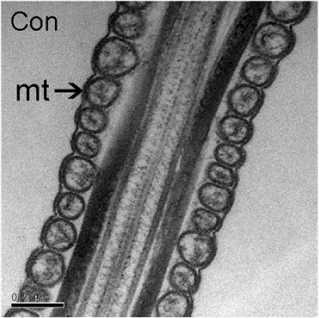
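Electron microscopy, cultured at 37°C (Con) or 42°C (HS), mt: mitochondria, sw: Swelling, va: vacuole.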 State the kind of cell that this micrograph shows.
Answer: sperm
